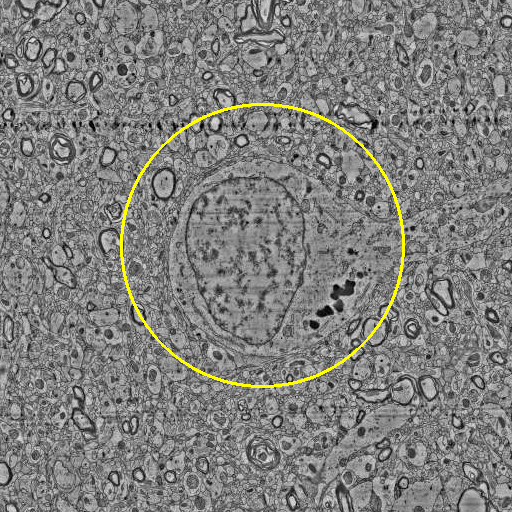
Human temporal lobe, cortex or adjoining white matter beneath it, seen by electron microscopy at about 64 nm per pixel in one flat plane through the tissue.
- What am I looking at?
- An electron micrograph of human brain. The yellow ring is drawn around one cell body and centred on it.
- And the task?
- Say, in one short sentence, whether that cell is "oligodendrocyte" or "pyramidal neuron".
The cell in the middle of the ring is a pyramidal neuron.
